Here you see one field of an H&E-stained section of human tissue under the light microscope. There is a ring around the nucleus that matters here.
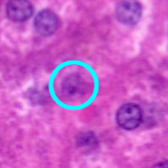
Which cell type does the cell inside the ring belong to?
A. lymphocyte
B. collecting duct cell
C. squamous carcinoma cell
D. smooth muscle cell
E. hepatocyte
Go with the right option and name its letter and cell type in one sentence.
Of all the options, E is right, since the cell inside the ring is a hepatocyte.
